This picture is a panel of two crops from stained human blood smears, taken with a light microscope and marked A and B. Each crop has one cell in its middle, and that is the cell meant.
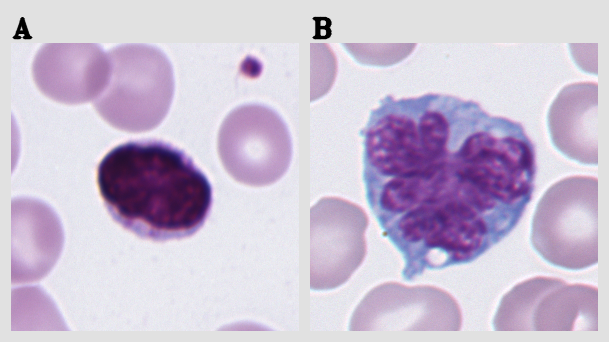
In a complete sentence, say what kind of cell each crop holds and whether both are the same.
No, crop A and crop B show a large granular lymphocyte and a monocyte respectively.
